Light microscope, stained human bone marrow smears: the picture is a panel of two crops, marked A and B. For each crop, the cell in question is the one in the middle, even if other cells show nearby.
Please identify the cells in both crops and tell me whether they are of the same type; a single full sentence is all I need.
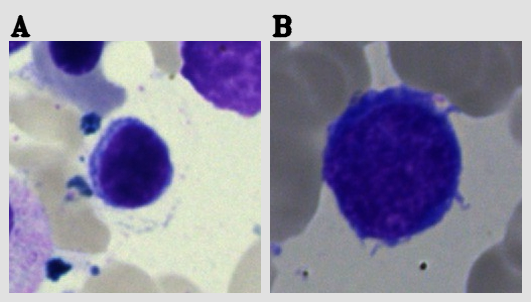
No, crop A shows a lymphocyte, whereas in crop B the cell is a blast.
